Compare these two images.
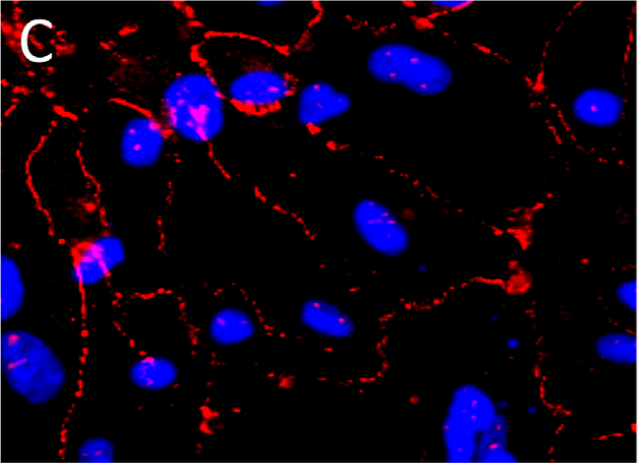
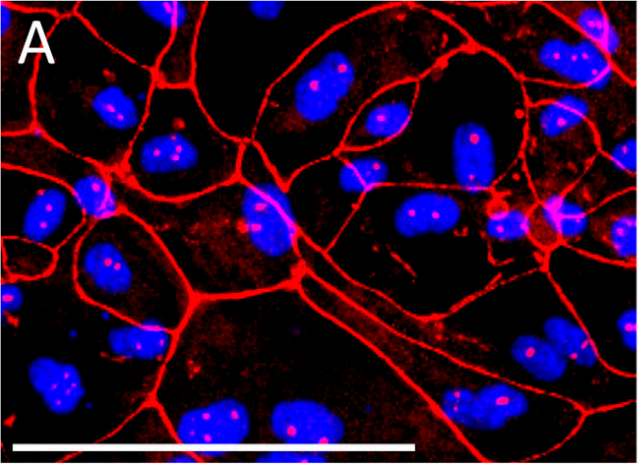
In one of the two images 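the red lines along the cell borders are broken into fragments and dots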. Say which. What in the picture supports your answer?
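First image: the red border lines are thin, faint and dotted, with many gaps. Second image: the red border lines are bright and continuous, closing around each cell.
Conclusion: the first image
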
